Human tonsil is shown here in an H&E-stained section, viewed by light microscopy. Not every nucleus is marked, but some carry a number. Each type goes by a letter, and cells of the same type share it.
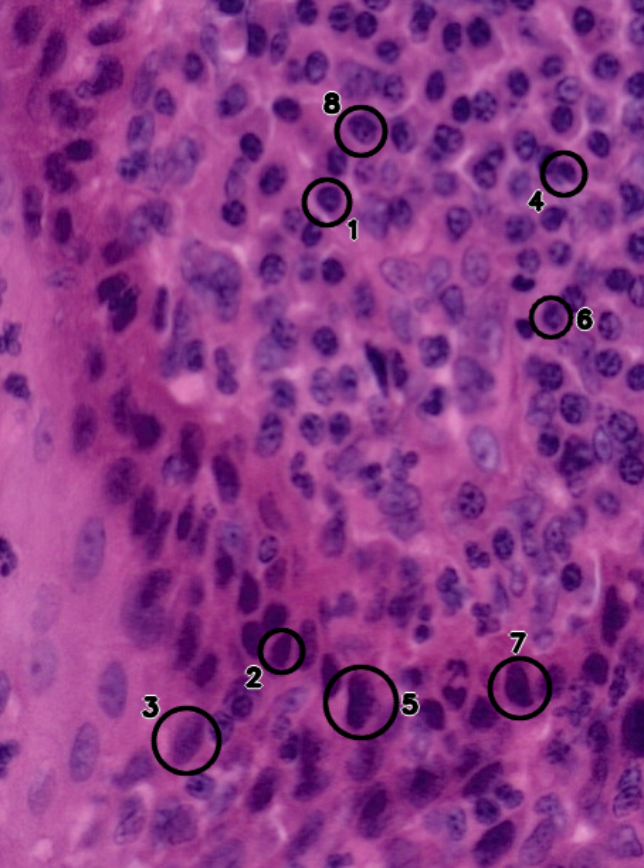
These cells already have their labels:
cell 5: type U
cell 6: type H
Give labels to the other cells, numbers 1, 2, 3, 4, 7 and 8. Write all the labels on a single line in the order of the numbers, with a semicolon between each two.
type H; type U; type U; type H; type U; type H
